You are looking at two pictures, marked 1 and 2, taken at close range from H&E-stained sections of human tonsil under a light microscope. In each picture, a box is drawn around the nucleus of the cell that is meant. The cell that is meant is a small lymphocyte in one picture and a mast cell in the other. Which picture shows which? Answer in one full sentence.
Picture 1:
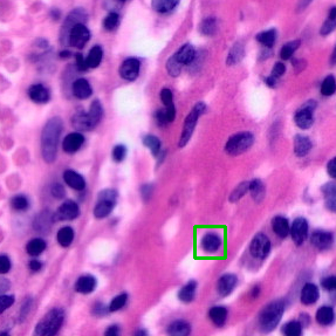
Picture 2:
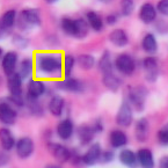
Picture 1 shows a mast cell and picture 2 shows a small lymphocyte.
